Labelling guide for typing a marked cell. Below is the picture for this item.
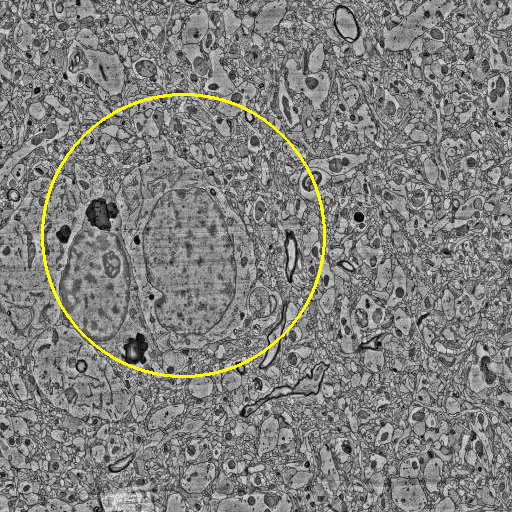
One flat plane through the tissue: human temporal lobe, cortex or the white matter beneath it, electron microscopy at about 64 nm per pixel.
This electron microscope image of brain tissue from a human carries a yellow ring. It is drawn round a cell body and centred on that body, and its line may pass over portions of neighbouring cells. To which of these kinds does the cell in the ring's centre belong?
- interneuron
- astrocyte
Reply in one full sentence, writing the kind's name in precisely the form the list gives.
Here we have an interneuron at the centre of the yellow ring in the picture.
